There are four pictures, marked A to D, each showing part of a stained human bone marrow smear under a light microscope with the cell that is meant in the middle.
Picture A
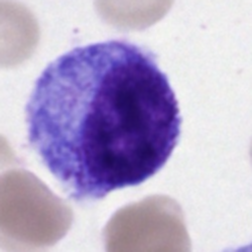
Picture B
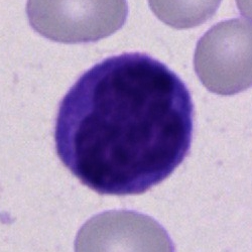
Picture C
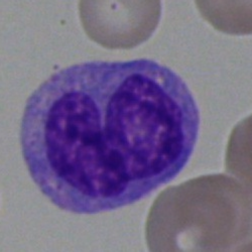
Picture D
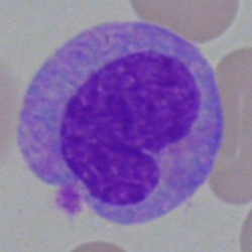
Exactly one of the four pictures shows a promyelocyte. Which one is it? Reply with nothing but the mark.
A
